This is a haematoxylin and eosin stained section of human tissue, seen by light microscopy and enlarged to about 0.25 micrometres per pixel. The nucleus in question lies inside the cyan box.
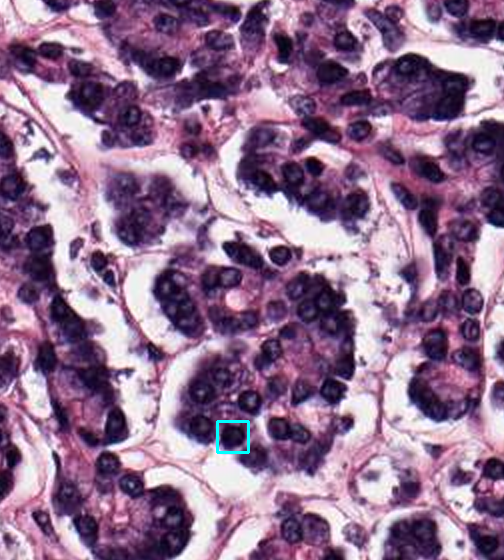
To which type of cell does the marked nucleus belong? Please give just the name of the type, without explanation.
pancreatic acinar cell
